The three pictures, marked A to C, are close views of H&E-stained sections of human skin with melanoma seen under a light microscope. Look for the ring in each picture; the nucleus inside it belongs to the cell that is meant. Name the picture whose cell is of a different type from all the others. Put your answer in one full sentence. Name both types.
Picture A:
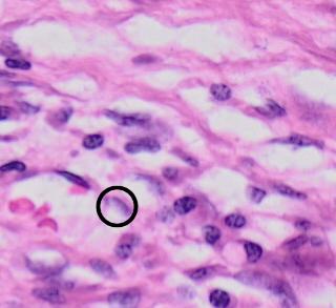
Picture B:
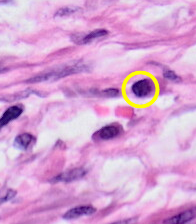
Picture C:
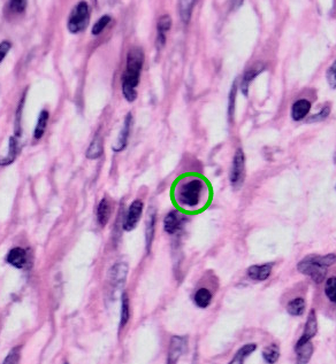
Picture A differs, because its cell is a “fibroblast or myofibroblast” and the rest are plasma cells.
